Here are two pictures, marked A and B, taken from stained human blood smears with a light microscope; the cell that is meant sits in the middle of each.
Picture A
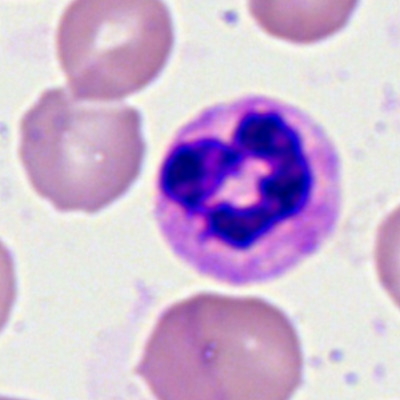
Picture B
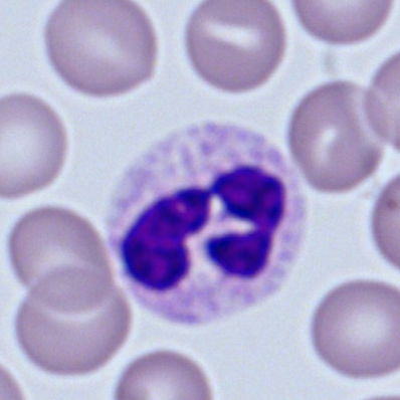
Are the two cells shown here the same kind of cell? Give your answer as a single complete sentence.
Yes, they are the same type: both are segmented neutrophils.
